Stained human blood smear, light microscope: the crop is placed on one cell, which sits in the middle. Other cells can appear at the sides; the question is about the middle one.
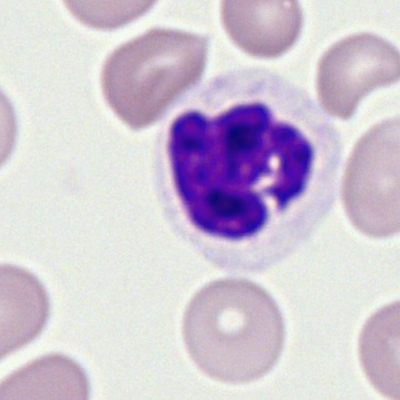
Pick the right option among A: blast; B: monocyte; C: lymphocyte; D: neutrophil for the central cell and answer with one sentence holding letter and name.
The correct choice is option D, which identifies the middle cell as a neutrophil.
